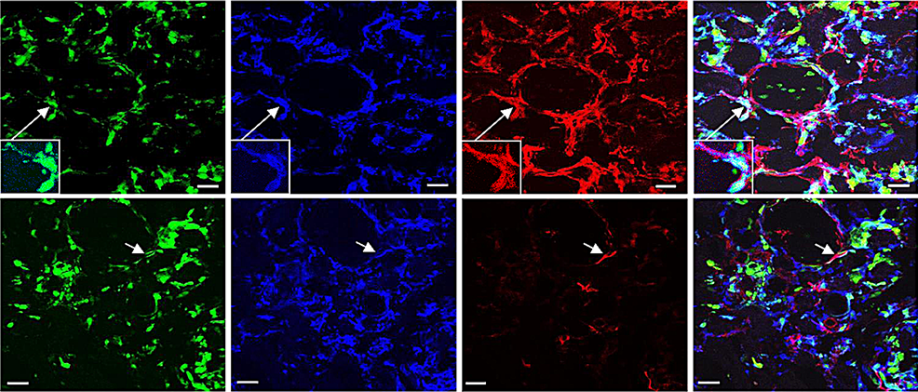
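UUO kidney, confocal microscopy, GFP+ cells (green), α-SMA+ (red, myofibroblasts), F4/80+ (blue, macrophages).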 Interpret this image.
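Green cells are irregular and scattered between dark, round spaces that are the outlines of tubules. The red stain forms a network around the tubule outlines, strong in the upper row and sparse in the lower row, and in the merged views some cells show green, blue and red together.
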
